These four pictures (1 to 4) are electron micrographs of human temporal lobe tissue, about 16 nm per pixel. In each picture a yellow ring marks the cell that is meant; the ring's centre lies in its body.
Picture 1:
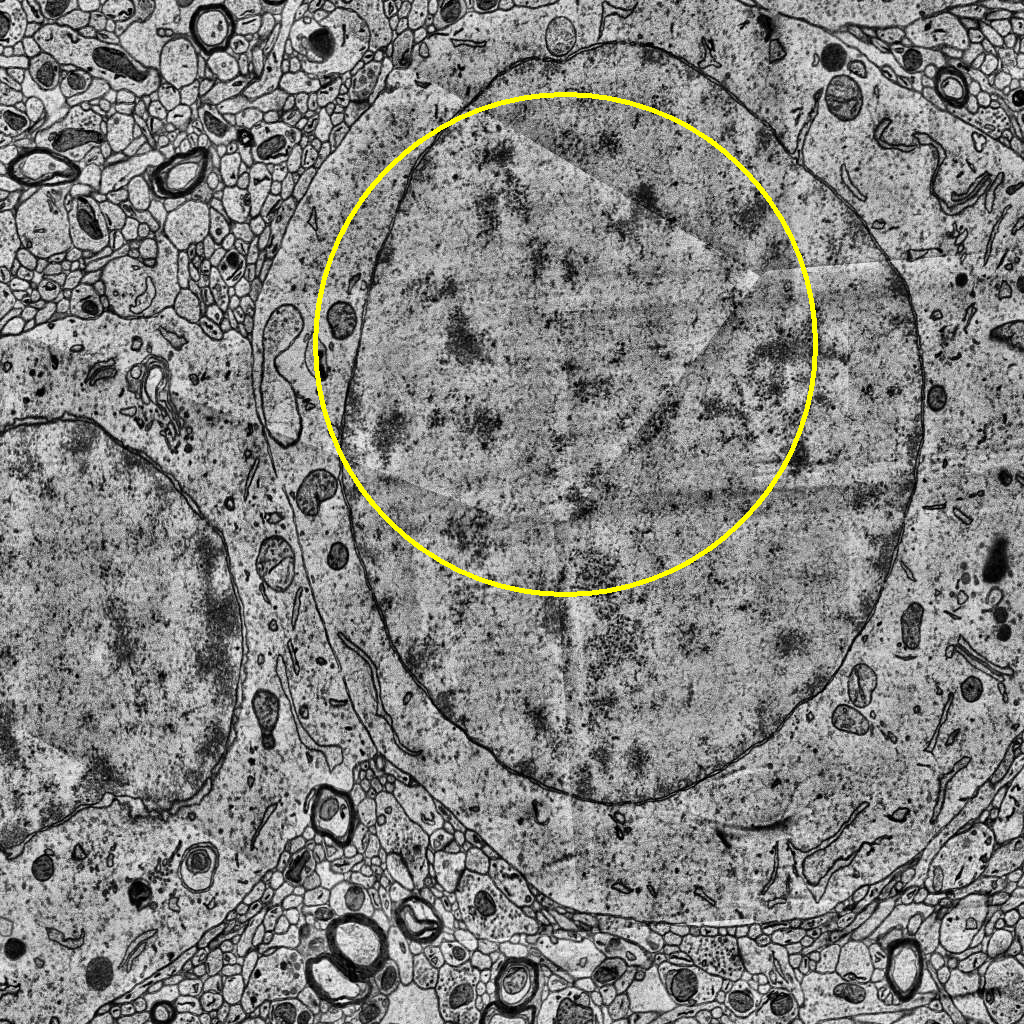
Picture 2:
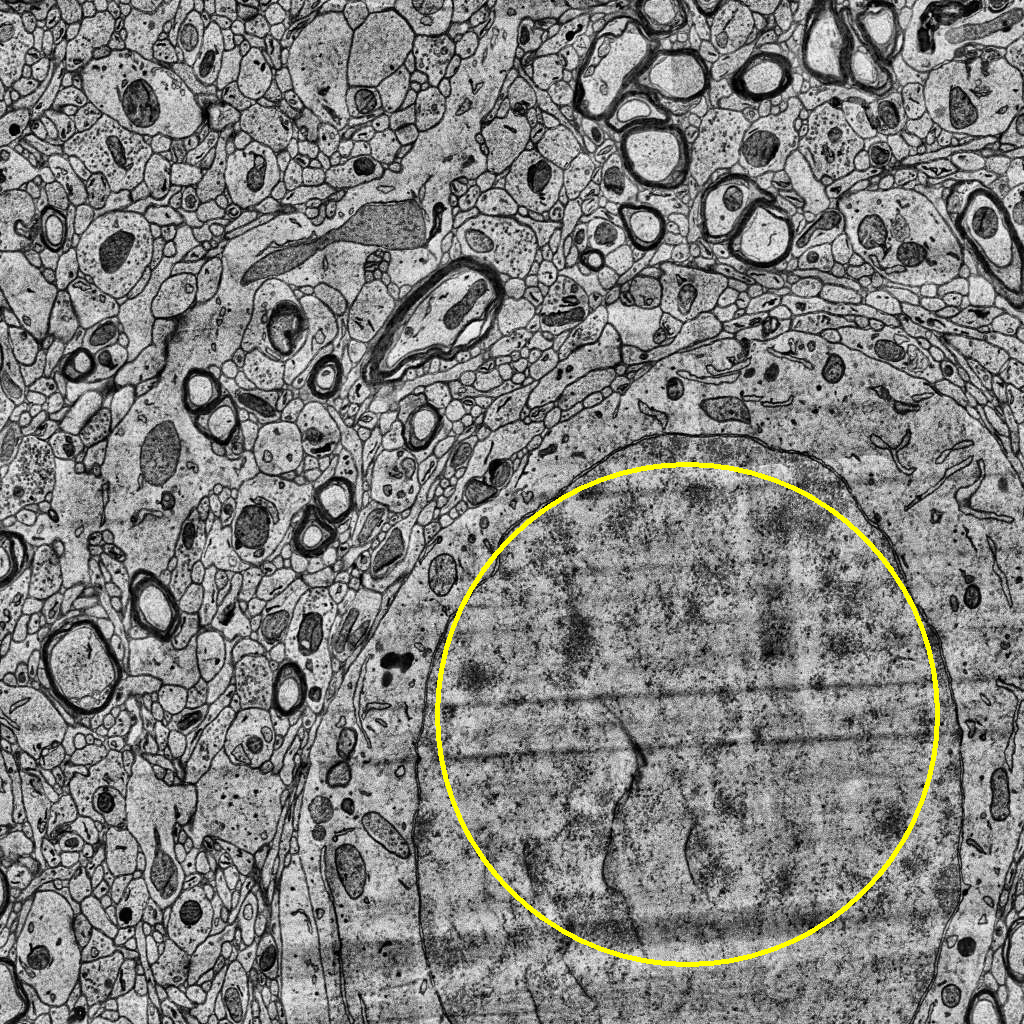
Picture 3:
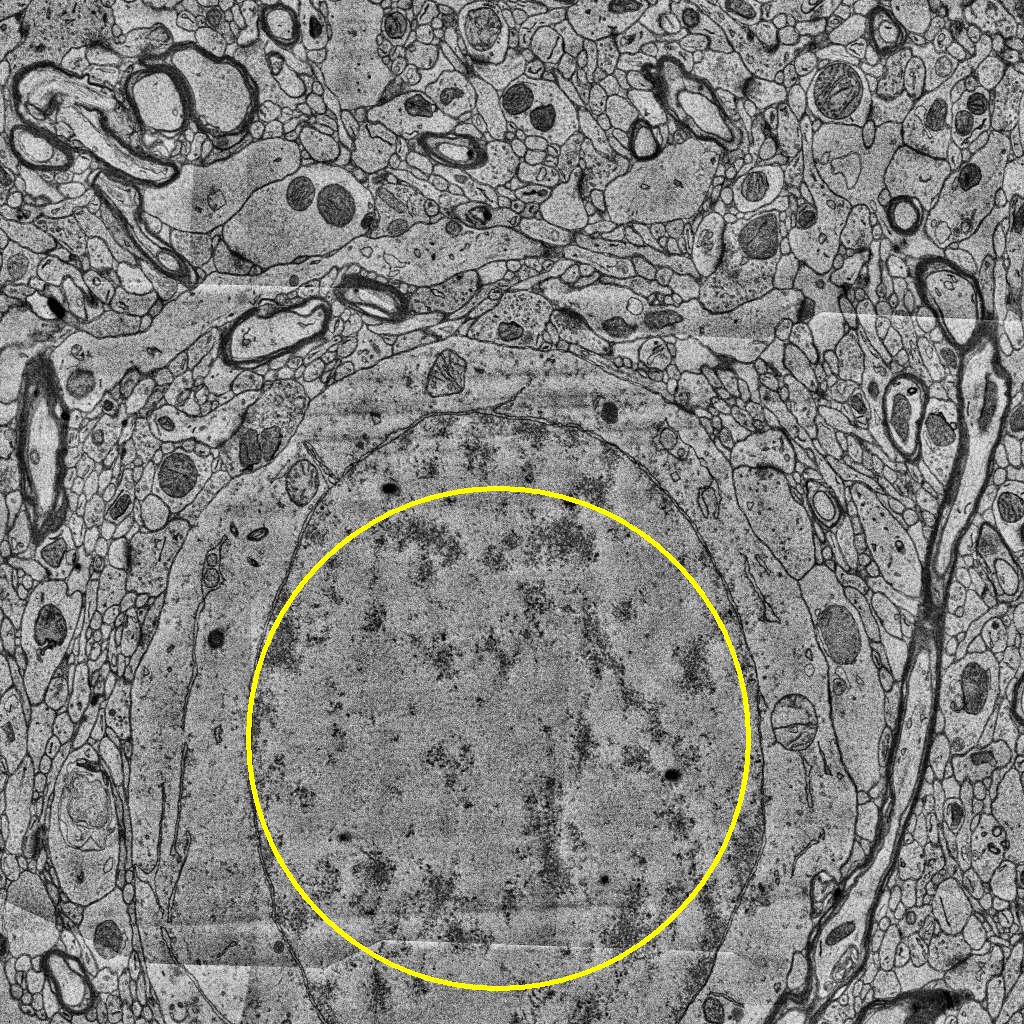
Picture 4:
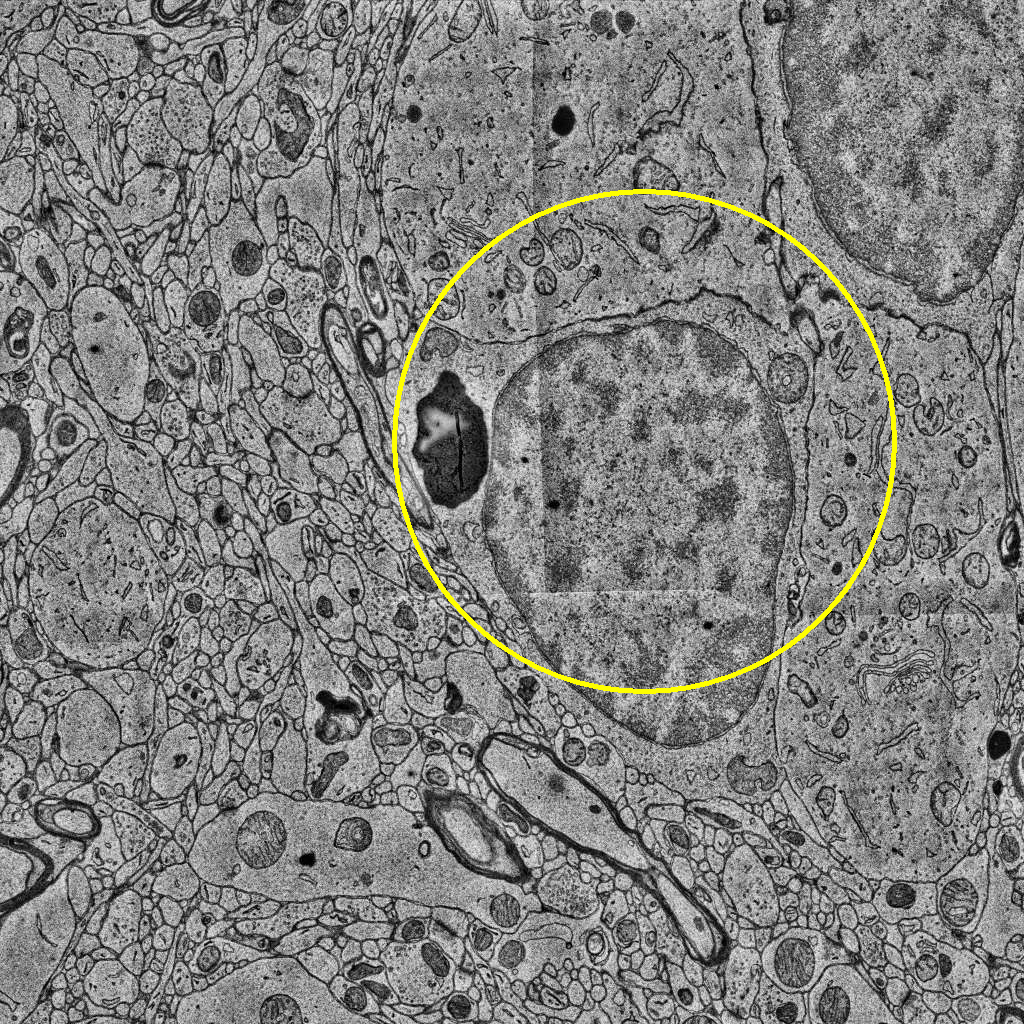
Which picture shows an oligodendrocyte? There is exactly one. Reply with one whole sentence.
Picture 4 shows the oligodendrocyte.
